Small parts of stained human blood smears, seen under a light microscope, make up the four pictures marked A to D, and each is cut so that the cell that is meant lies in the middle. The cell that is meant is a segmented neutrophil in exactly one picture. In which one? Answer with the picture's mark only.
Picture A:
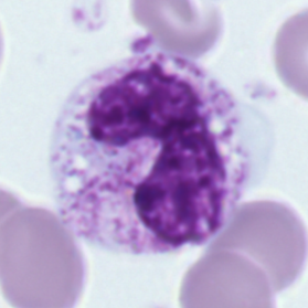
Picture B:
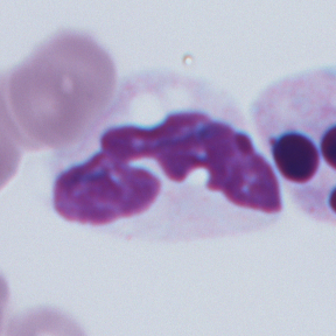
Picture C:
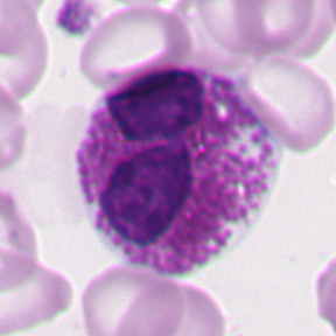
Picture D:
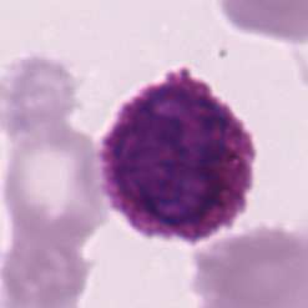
B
